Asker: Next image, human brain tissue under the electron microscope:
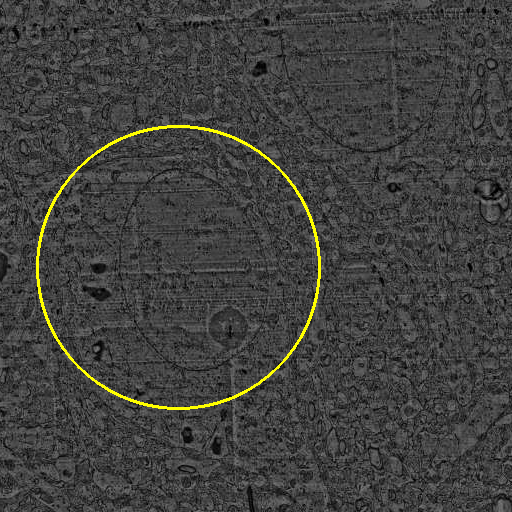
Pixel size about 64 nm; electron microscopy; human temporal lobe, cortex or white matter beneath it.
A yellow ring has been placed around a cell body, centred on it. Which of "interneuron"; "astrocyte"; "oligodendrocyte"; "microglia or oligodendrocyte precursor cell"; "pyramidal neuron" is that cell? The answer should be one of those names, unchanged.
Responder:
pyramidal neuron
